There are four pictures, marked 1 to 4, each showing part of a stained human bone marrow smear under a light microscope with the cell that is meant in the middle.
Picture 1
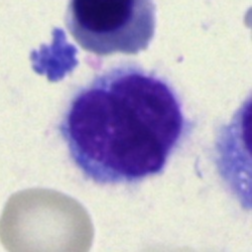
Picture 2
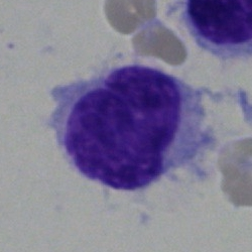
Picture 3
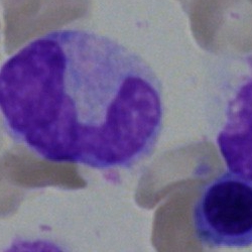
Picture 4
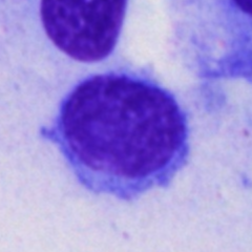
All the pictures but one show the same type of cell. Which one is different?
3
